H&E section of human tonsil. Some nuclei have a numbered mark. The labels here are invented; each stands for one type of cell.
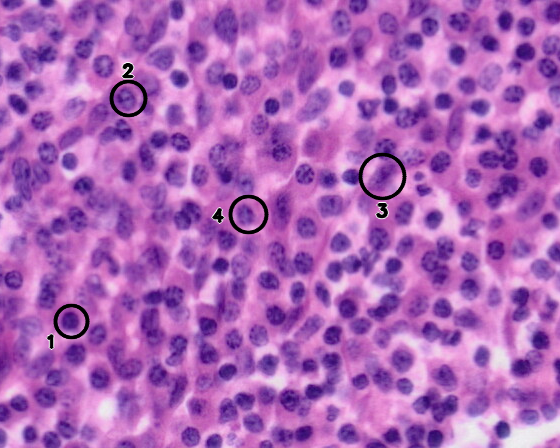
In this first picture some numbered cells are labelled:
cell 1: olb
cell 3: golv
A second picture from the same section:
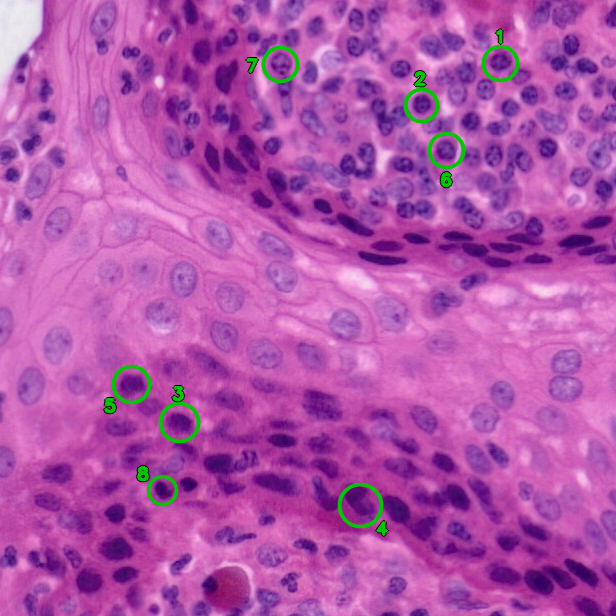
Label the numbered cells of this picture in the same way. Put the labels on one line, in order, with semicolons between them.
olb; olb; golv; golv; golv; olb; olb; golv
